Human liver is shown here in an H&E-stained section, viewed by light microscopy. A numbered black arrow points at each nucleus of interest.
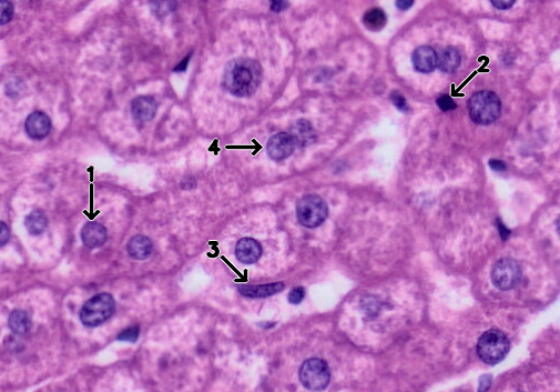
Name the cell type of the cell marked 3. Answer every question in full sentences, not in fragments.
The cell marked with the number 3 is a Kupffer cell.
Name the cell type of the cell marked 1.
The correct answer for cell 1 is a hepatocyte.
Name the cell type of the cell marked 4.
The cell pointed out as number 4 is a hepatocyte.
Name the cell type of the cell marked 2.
The cell whose nucleus carries the number 2 is a fibroblast or stellate cell.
